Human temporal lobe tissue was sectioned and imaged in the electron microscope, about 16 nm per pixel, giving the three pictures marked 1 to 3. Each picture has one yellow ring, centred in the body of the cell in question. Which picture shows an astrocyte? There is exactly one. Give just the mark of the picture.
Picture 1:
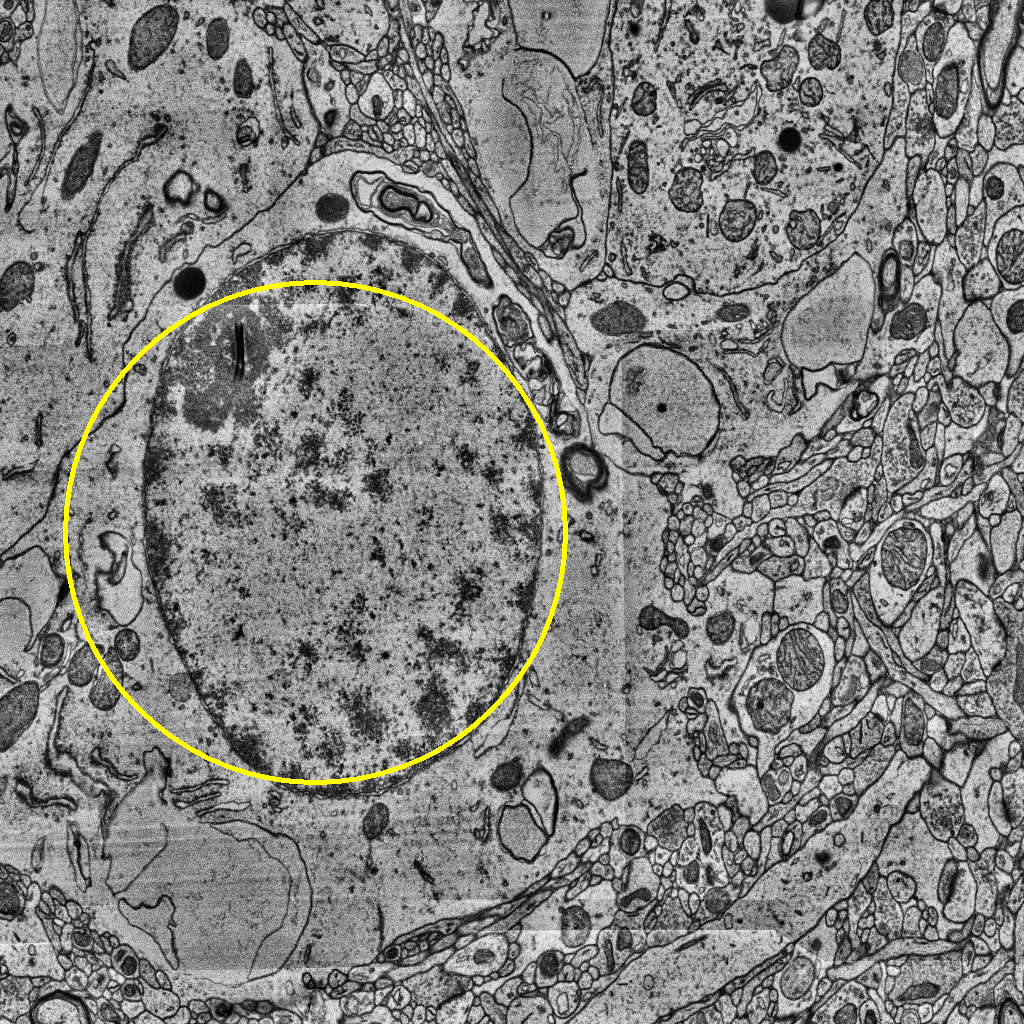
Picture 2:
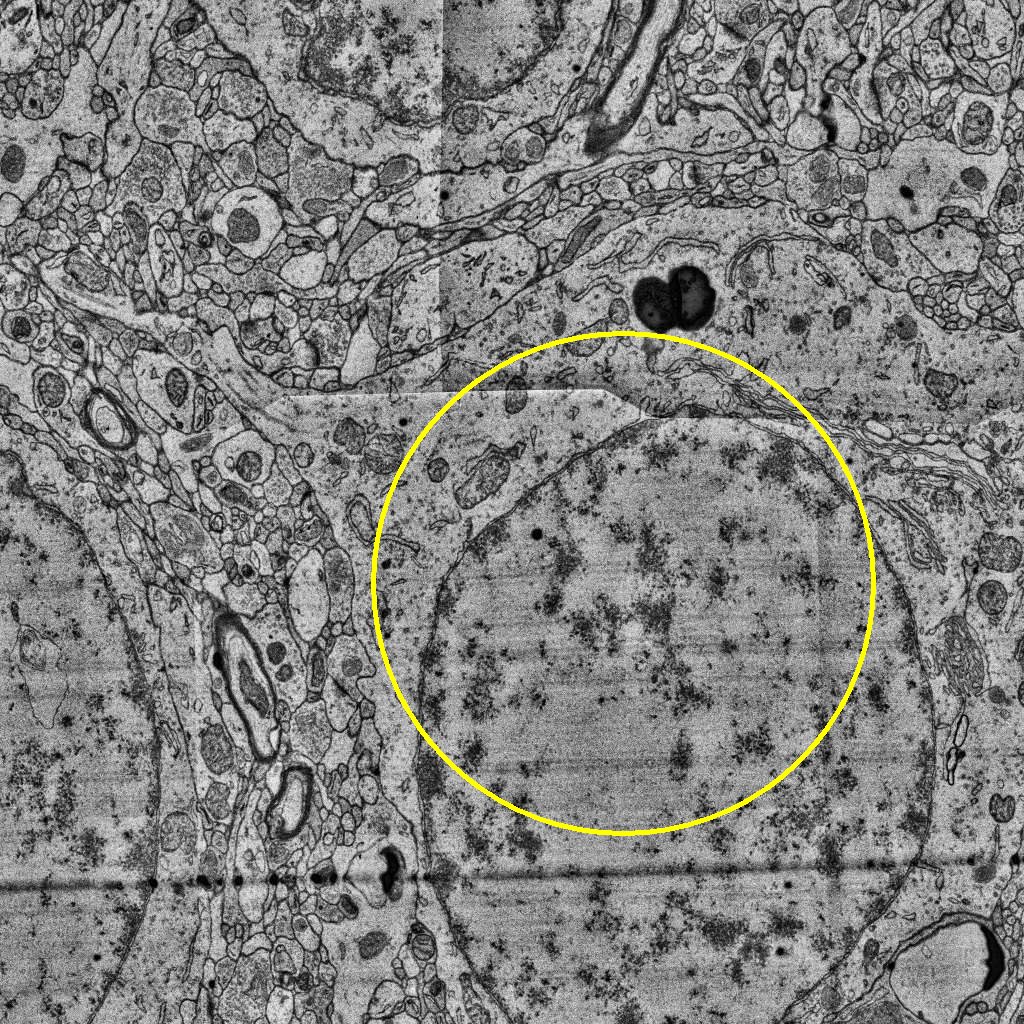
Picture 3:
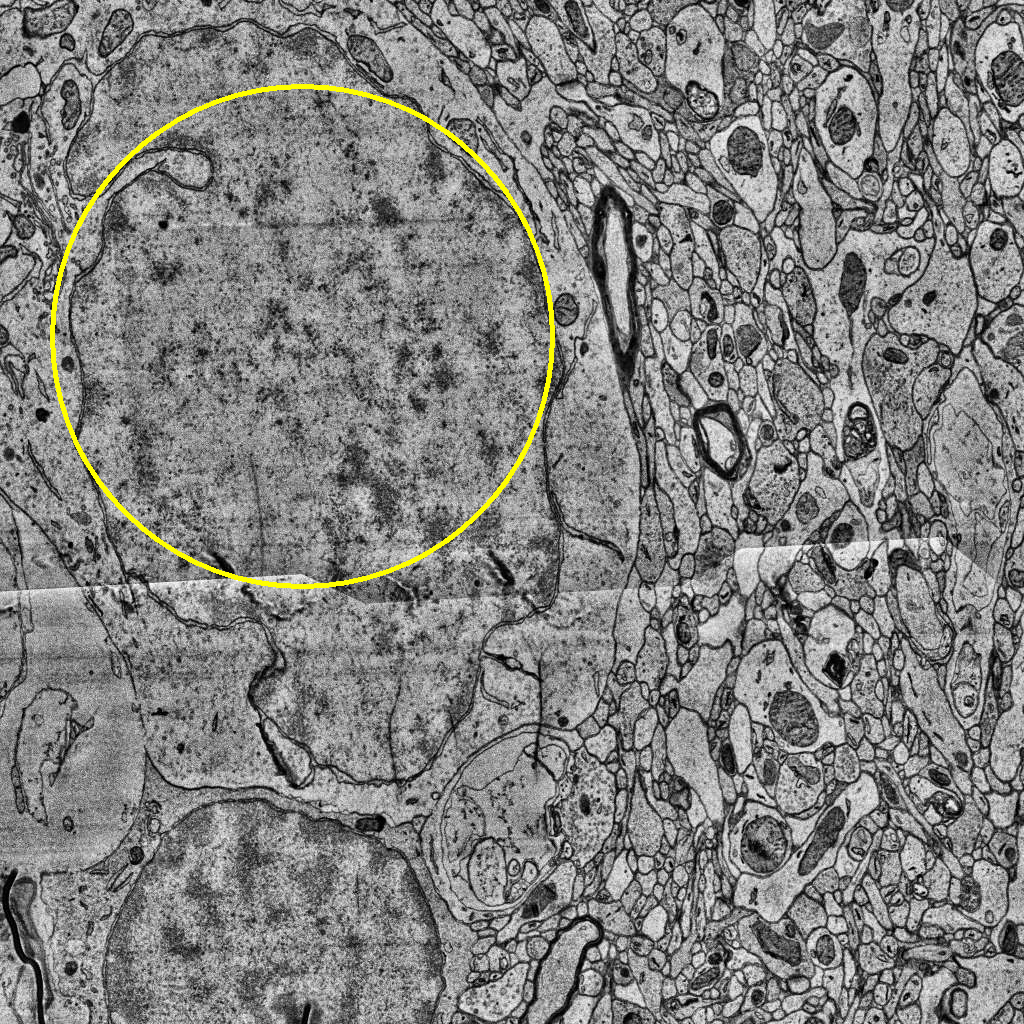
1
